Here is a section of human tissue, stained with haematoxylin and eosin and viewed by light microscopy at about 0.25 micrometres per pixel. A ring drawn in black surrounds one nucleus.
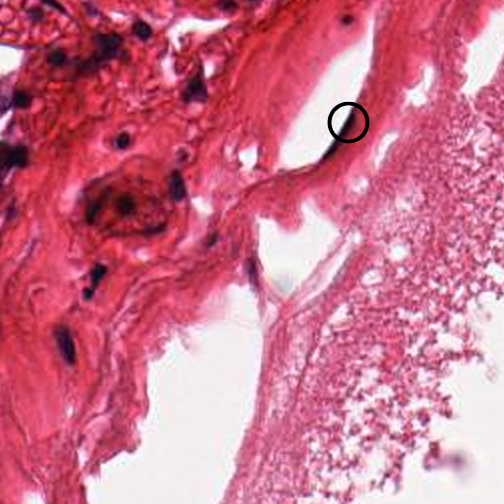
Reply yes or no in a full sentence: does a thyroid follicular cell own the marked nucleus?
No, the marked nucleus does not belong to a thyroid follicular cell; it belongs to a supporting cell.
